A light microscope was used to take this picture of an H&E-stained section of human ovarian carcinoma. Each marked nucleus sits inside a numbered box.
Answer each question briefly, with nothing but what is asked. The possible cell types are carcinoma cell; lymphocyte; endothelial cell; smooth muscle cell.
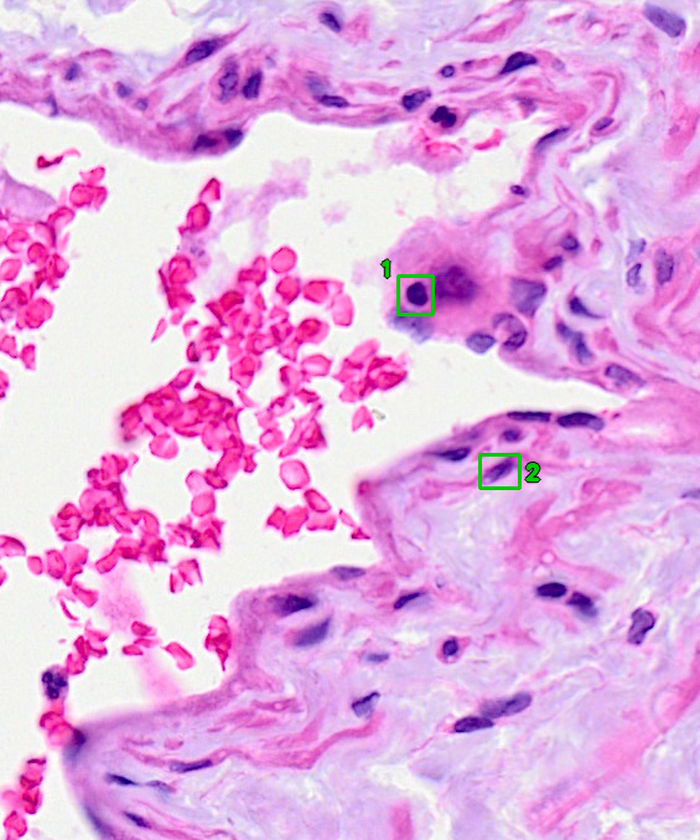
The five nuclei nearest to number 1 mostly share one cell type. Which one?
endothelial cell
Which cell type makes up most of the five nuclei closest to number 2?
smooth muscle cell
